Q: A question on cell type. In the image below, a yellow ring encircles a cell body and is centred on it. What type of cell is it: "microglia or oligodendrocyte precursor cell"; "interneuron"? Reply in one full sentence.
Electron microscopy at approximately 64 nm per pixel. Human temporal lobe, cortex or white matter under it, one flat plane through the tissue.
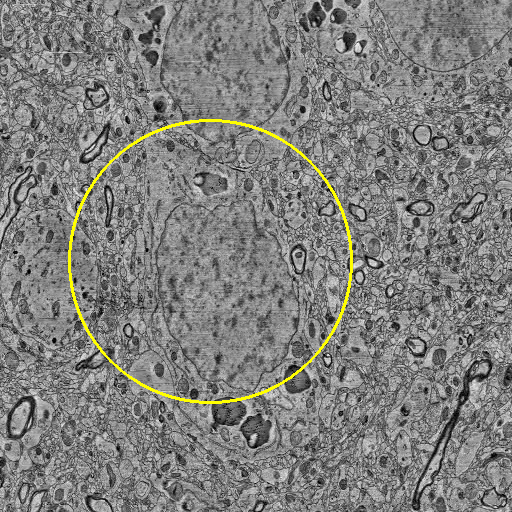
It is an interneuron whose cell body sits at the centre of the yellow ring in the image.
